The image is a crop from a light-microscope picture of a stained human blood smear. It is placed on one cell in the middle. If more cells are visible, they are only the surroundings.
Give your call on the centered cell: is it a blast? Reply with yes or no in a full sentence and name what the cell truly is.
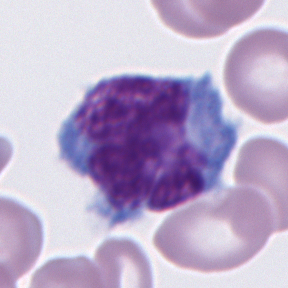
Yes, the middle cell in this crop is a blast.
